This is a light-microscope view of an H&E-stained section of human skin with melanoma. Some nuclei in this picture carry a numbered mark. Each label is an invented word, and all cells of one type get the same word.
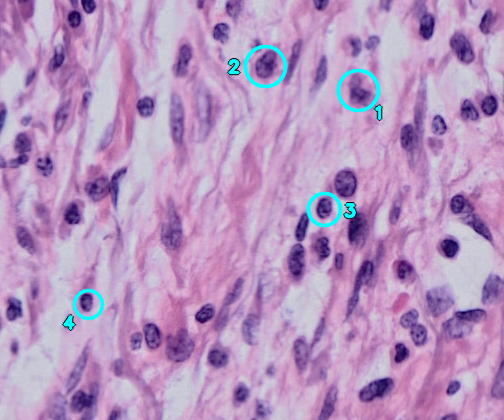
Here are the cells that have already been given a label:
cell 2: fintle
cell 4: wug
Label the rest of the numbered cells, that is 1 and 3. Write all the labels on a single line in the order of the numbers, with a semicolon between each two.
fintle; wug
